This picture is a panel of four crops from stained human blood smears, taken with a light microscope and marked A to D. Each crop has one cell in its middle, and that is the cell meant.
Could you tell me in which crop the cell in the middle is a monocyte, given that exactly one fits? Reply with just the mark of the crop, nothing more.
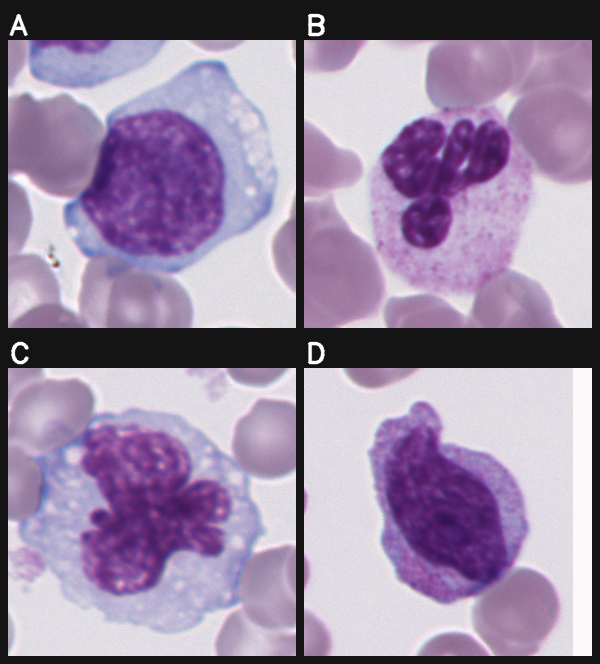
C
